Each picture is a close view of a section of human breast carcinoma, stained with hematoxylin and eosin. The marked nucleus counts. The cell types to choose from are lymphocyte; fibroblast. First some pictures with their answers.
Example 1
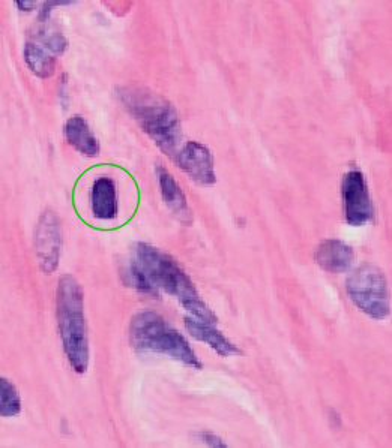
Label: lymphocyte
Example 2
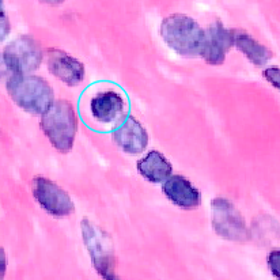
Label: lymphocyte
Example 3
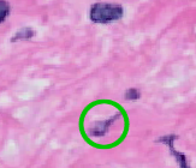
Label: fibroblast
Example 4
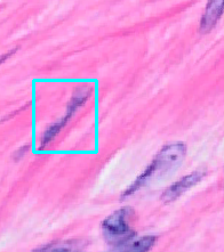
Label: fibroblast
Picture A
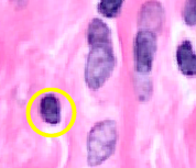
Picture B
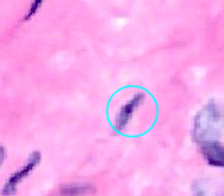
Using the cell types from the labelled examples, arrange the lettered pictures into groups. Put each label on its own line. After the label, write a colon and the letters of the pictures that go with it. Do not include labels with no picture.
lymphocyte: A
fibroblast: B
